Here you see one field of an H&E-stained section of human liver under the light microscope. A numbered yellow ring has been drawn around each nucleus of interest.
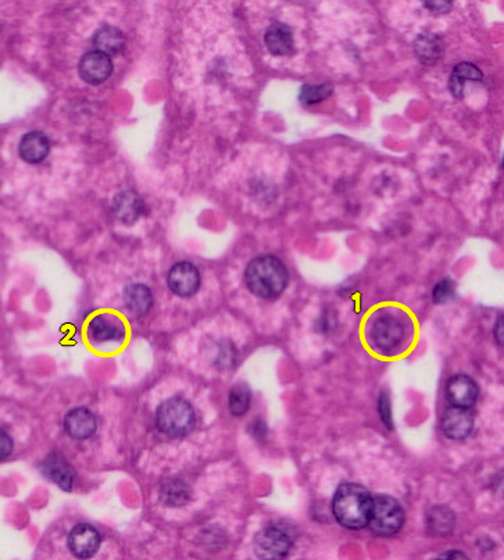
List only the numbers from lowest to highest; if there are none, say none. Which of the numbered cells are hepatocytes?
1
